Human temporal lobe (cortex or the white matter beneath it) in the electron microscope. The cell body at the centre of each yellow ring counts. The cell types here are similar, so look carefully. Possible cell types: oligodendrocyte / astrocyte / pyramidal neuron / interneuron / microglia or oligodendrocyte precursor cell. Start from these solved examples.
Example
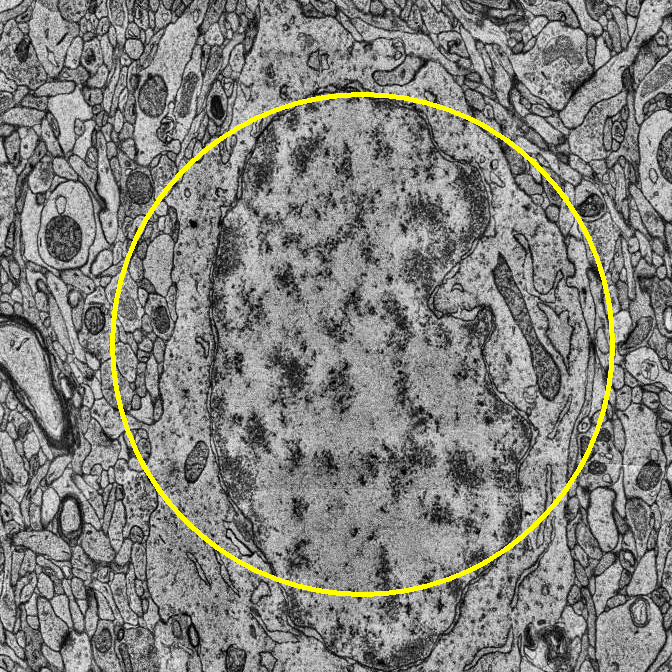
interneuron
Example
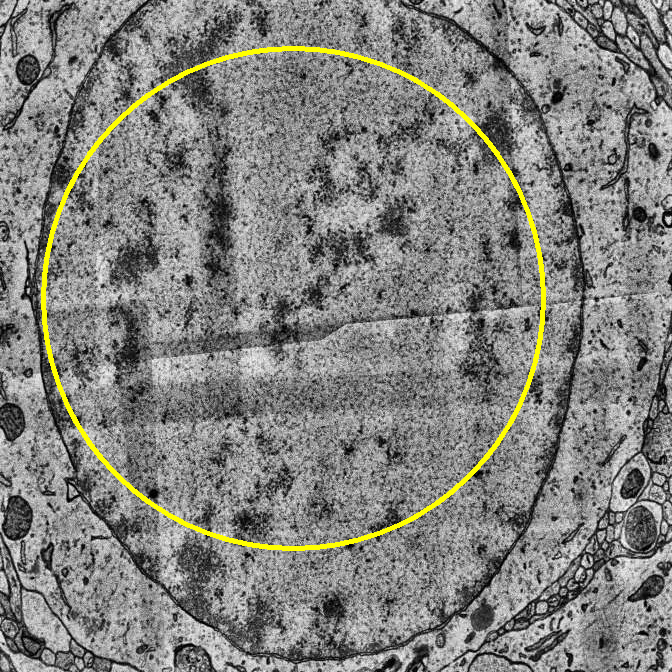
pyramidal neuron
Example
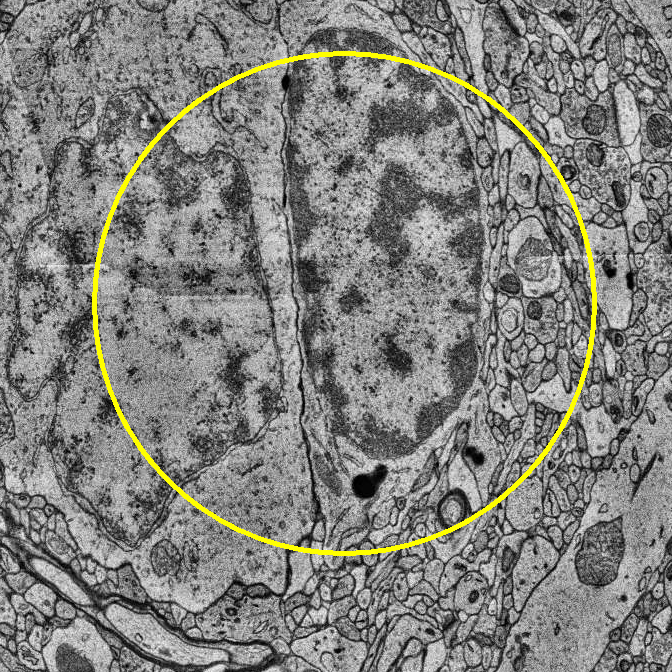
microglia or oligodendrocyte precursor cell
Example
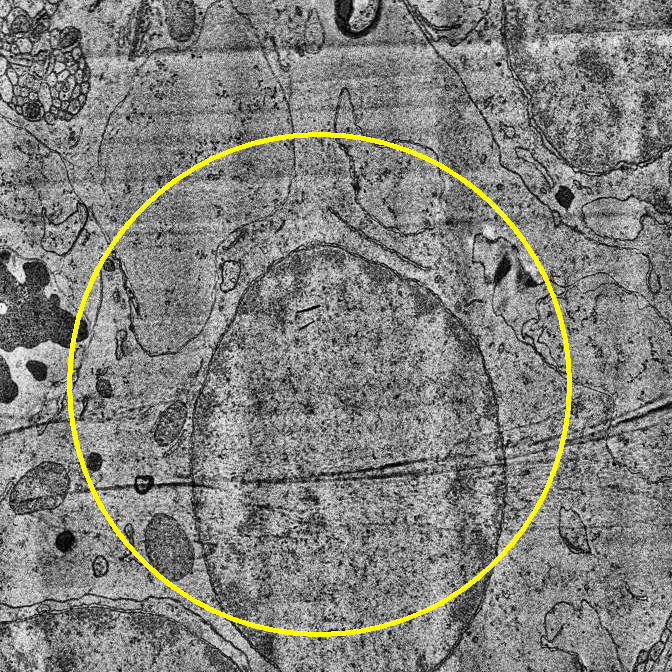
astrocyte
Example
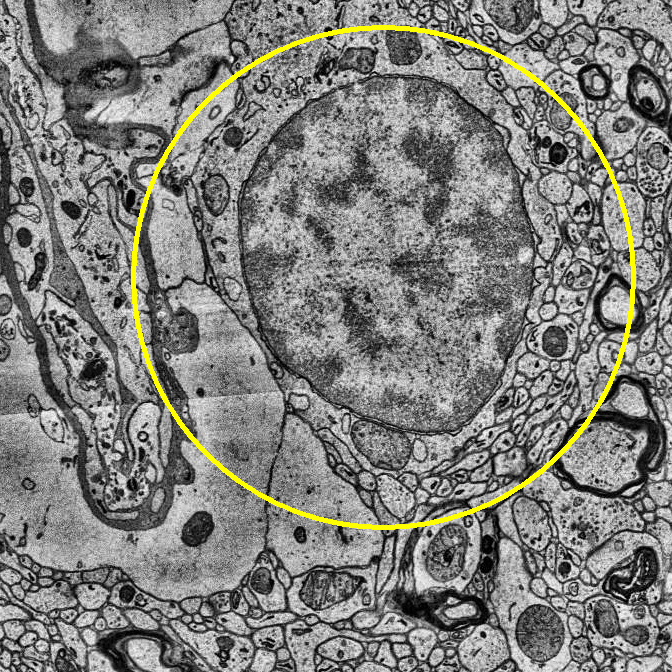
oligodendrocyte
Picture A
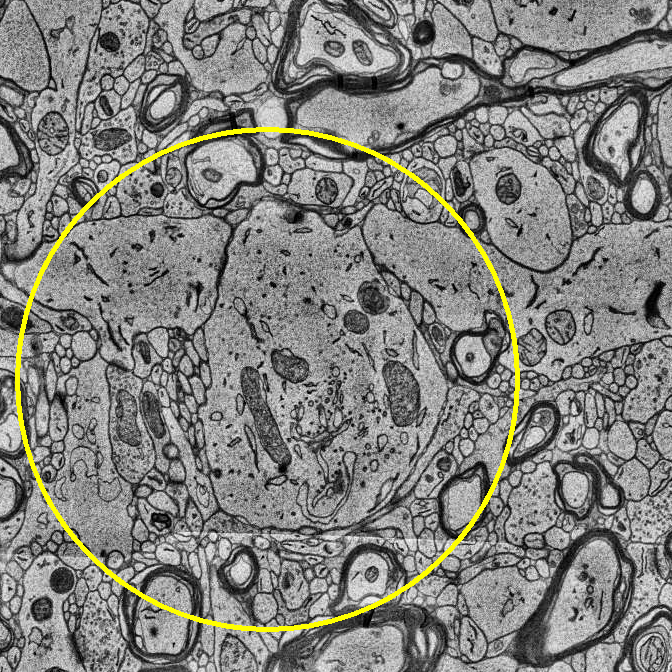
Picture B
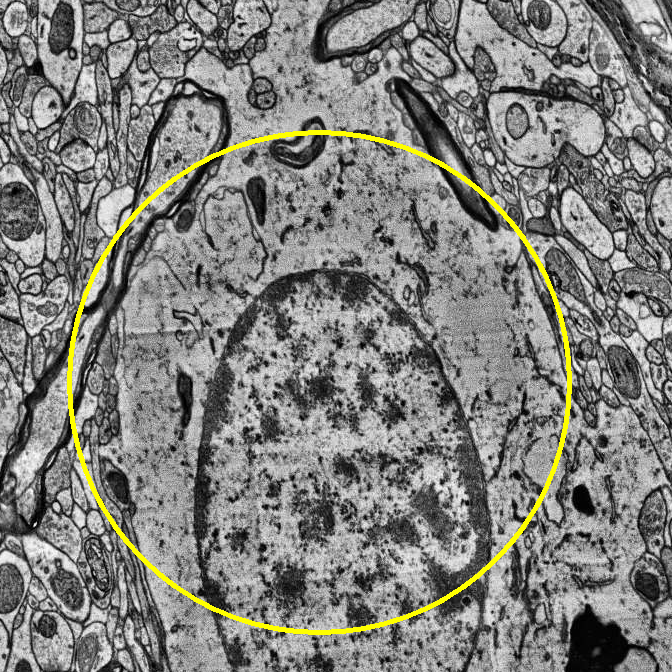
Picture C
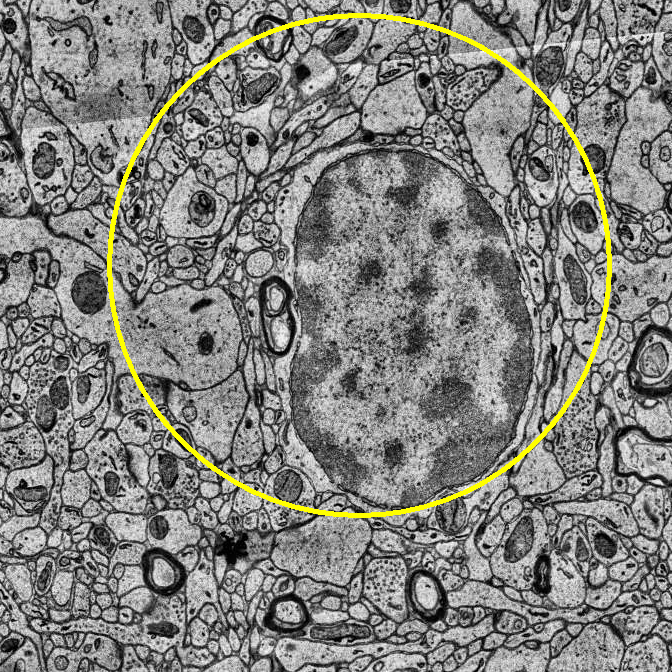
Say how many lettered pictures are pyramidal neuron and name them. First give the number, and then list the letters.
0, none of them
